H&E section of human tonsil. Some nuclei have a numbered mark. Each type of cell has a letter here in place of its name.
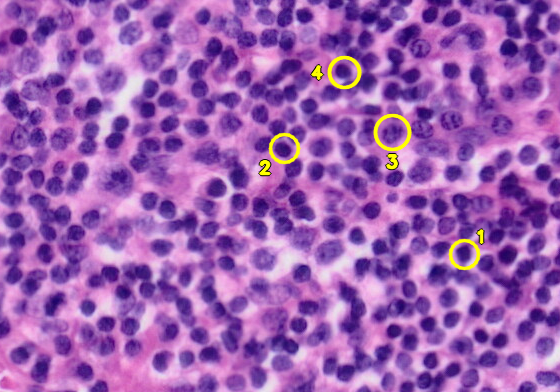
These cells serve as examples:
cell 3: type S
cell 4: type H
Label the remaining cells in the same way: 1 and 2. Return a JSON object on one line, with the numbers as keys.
{"1": "type H", "2": "type H"}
